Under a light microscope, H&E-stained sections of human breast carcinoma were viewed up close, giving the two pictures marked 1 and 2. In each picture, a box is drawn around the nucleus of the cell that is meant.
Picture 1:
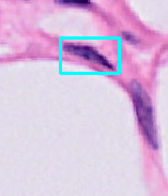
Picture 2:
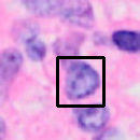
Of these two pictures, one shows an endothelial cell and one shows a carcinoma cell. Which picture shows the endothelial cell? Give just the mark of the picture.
1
